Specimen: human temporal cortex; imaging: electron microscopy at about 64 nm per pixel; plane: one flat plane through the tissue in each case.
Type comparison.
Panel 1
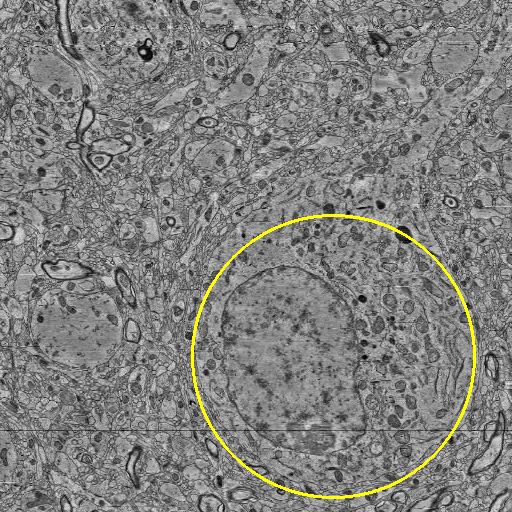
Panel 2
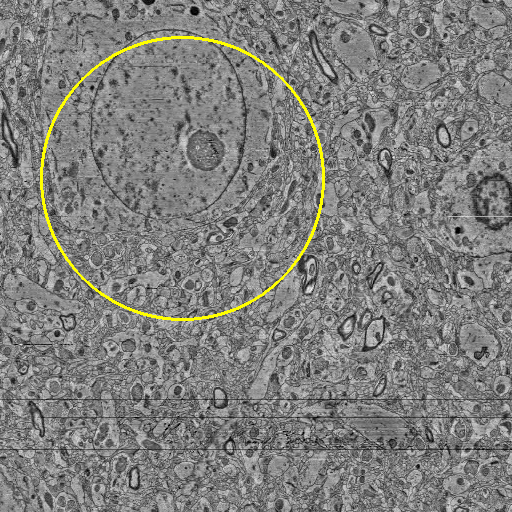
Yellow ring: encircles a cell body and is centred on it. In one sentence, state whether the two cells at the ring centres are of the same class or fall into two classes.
In these panels, the two cells at the ring centres fall into two classes.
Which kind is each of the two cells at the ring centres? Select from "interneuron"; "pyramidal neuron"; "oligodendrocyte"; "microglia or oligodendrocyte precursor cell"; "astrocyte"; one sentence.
The cell at the centre of the ring is an interneuron in the first picture and a pyramidal neuron in the second.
